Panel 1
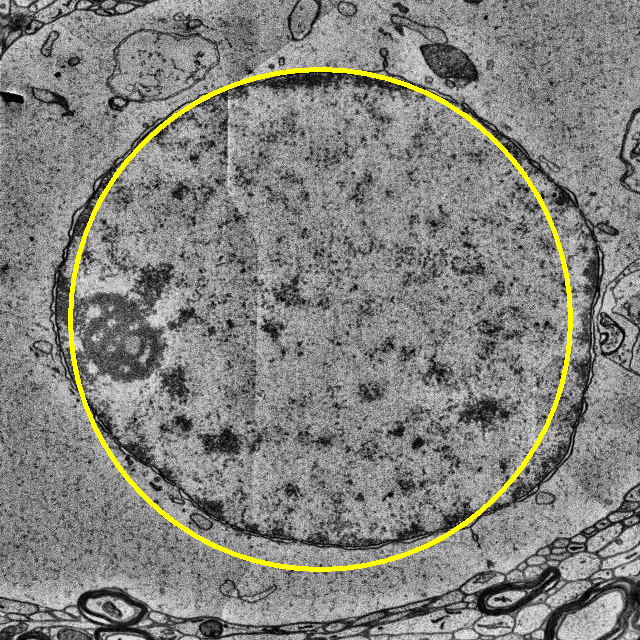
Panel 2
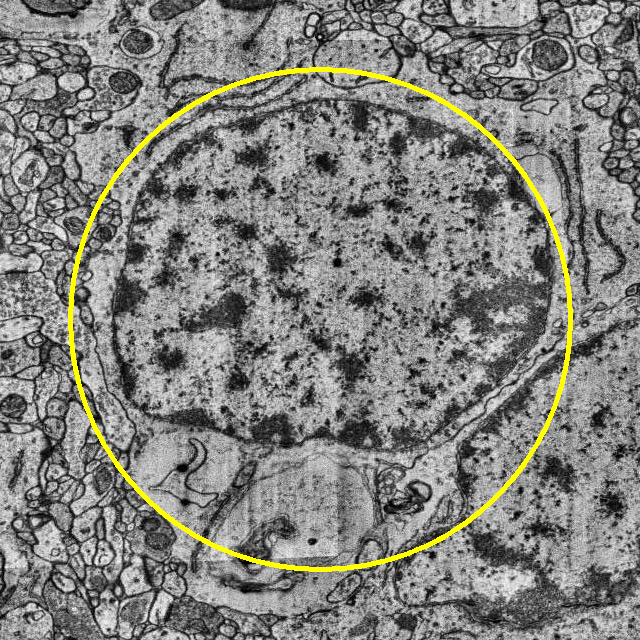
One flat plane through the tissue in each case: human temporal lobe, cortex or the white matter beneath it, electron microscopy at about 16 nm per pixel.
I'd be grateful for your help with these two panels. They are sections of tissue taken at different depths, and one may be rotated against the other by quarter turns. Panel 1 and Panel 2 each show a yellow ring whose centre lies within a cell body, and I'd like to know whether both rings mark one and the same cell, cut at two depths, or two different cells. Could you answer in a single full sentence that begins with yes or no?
No, a single cell is not marked twice here; two cells are marked.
